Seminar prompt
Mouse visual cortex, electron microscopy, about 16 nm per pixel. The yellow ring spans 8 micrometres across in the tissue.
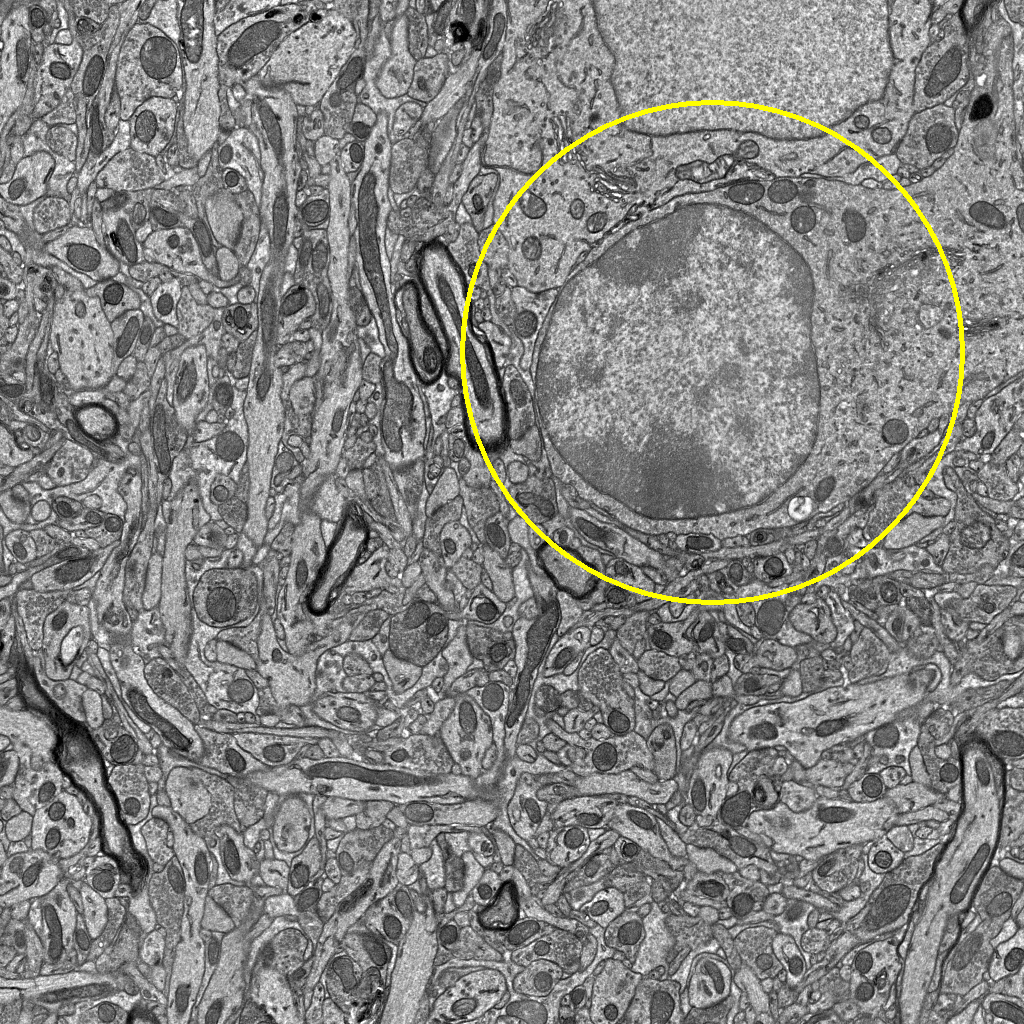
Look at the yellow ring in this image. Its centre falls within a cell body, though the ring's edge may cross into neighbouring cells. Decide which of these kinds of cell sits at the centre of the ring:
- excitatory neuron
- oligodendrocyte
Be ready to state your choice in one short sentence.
The kind of cell at the ring's centre is an oligodendrocyte.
